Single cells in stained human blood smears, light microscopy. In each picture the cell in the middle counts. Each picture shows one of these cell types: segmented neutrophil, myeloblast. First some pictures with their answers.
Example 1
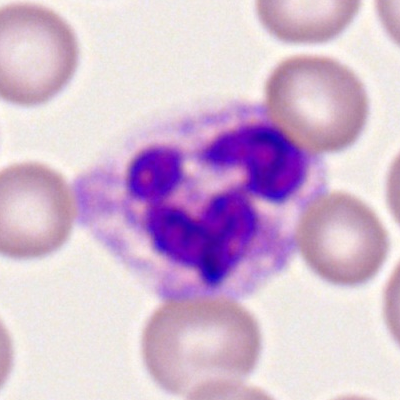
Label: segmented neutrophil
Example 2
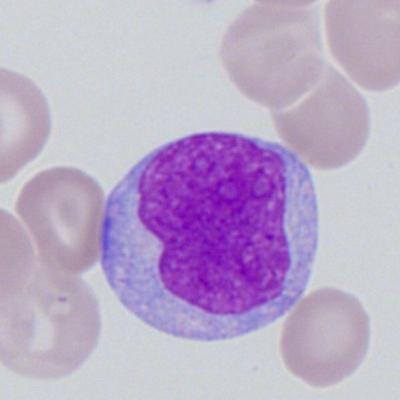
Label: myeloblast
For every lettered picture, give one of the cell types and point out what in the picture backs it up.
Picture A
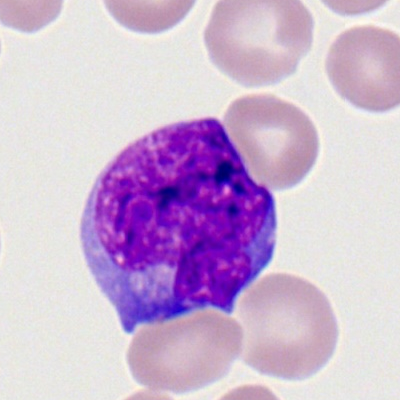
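Answer: myeloblast. The nucleus fills most of the cell and is irregular, with a deep cleft running up from its lower edge.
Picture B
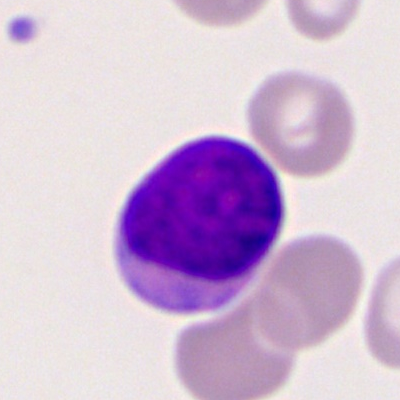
Answer: myeloblast. The nucleus fills most of the cell, leaving the cytoplasm as a crescent along the lower edge.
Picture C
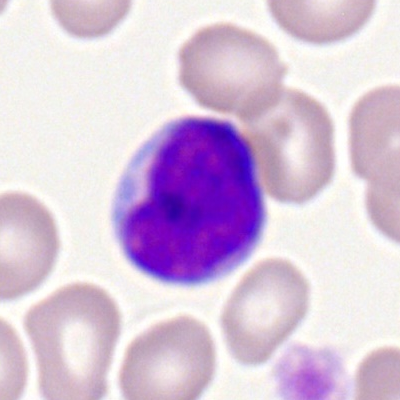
Answer: myeloblast. The cytoplasm forms only a thin rim.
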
